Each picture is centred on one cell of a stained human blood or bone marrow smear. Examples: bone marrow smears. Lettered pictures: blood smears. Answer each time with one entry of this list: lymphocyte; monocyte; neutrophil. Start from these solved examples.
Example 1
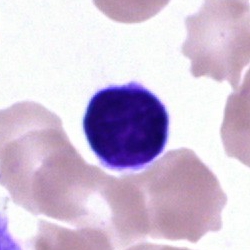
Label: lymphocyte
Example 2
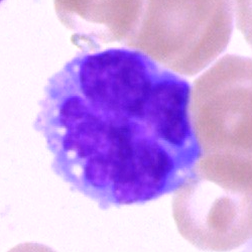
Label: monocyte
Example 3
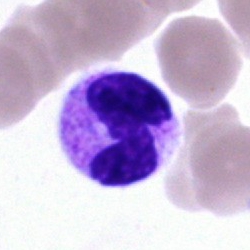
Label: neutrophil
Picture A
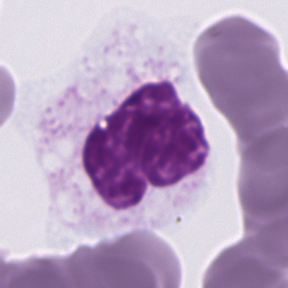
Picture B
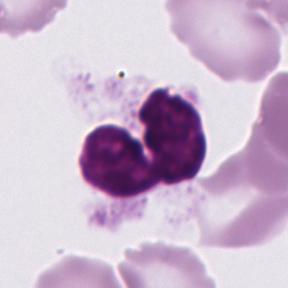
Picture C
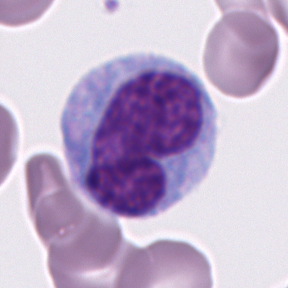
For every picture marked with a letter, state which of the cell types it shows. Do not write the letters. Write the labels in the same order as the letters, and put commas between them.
neutrophil, neutrophil, monocyte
